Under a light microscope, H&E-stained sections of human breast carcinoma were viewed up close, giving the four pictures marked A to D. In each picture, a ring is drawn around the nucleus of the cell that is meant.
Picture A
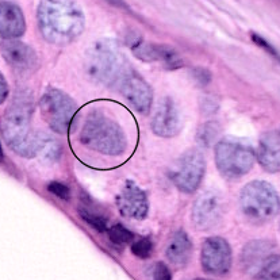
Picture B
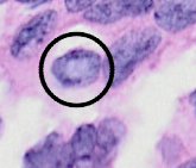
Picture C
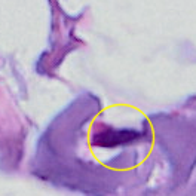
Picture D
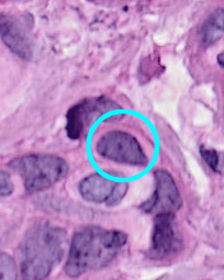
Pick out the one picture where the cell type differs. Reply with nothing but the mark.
C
